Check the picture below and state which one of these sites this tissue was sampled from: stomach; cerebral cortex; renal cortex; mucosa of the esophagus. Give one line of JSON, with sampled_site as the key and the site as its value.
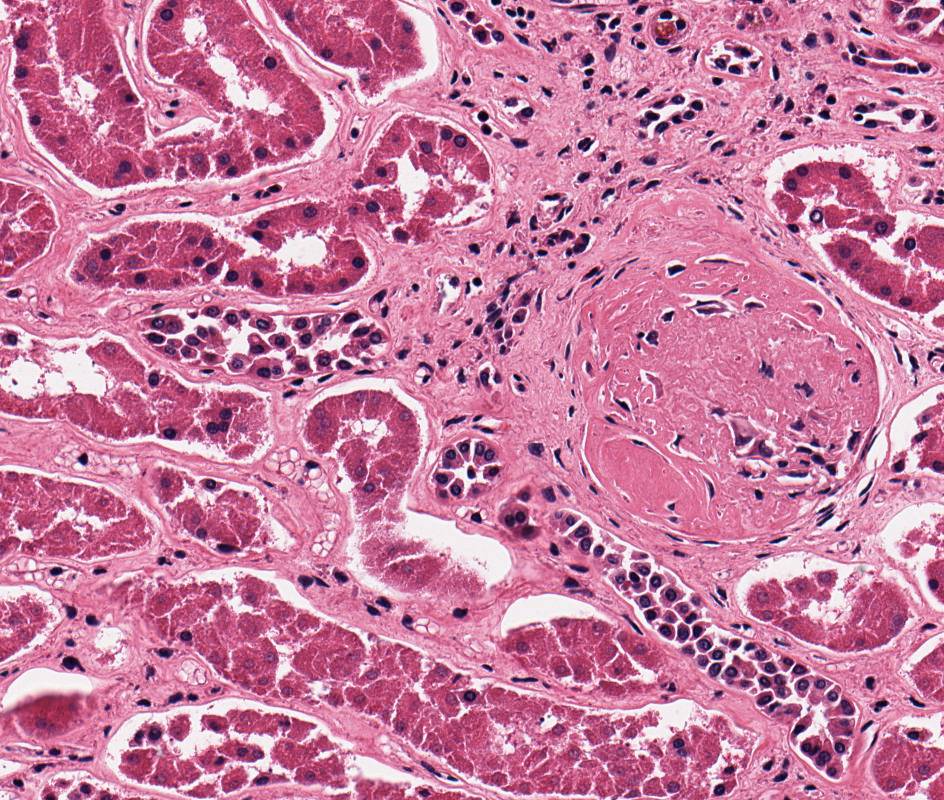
{"sampled_site": "renal cortex"}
